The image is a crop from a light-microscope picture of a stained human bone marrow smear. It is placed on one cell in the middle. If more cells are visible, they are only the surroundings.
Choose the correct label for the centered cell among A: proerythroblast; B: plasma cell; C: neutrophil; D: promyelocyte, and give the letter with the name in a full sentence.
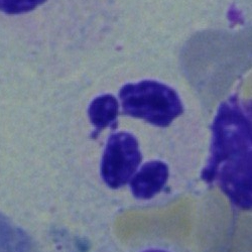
The middle of the crop contains a neutrophil, so option C is right.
